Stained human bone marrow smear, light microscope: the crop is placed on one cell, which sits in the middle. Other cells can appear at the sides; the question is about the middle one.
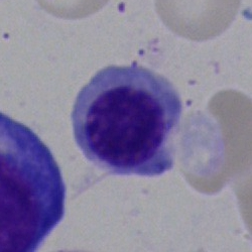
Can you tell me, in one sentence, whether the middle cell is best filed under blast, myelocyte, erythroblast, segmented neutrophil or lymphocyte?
The cell at the centre of the field is an erythroblast.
